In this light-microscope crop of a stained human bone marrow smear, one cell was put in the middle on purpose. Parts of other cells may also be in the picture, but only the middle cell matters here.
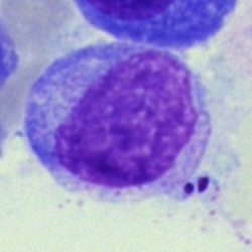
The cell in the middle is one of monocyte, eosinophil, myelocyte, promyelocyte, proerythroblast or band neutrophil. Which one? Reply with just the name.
promyelocyte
